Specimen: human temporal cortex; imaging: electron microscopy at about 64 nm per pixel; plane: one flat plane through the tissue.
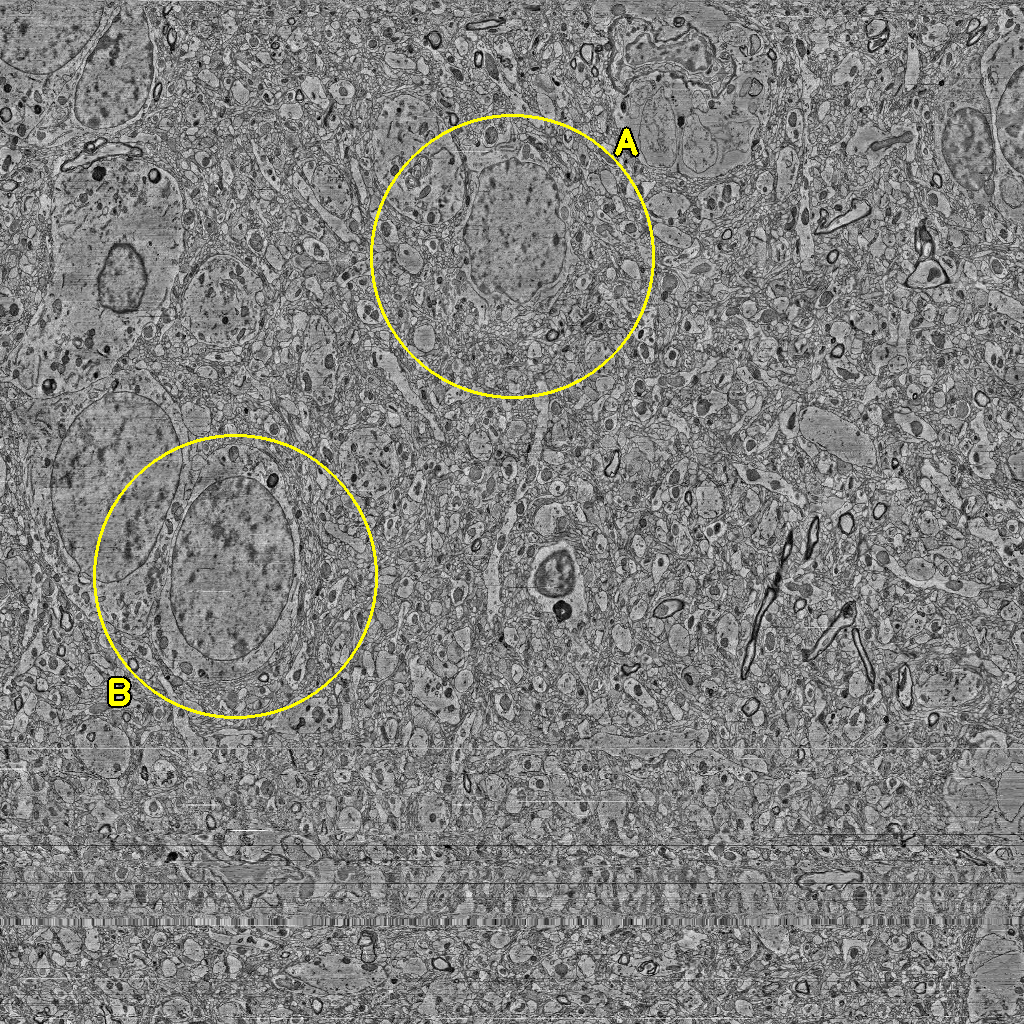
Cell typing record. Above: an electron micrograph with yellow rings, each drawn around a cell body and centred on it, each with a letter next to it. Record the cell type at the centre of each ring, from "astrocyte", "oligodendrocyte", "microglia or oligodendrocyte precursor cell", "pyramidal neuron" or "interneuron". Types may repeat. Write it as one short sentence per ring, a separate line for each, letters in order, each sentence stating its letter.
Ring A circles an astrocyte.
Ring B circles a pyramidal neuron.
